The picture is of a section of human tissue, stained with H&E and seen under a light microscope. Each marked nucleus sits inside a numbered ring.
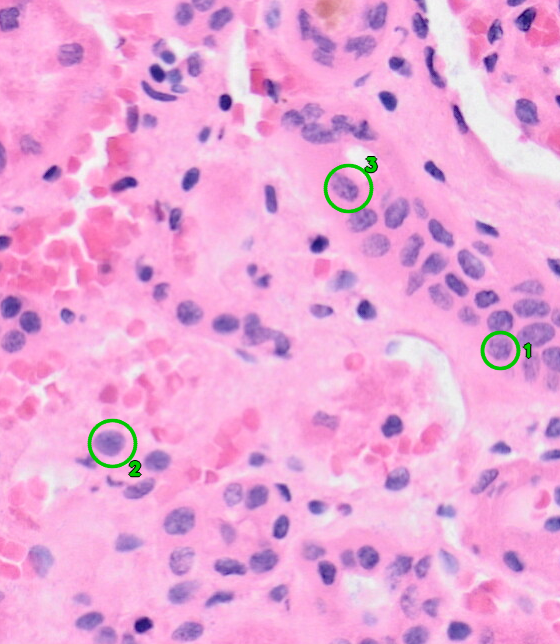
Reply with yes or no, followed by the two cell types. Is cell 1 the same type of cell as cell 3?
Yes, cells number 1 and number 3 are both collecting duct cells.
